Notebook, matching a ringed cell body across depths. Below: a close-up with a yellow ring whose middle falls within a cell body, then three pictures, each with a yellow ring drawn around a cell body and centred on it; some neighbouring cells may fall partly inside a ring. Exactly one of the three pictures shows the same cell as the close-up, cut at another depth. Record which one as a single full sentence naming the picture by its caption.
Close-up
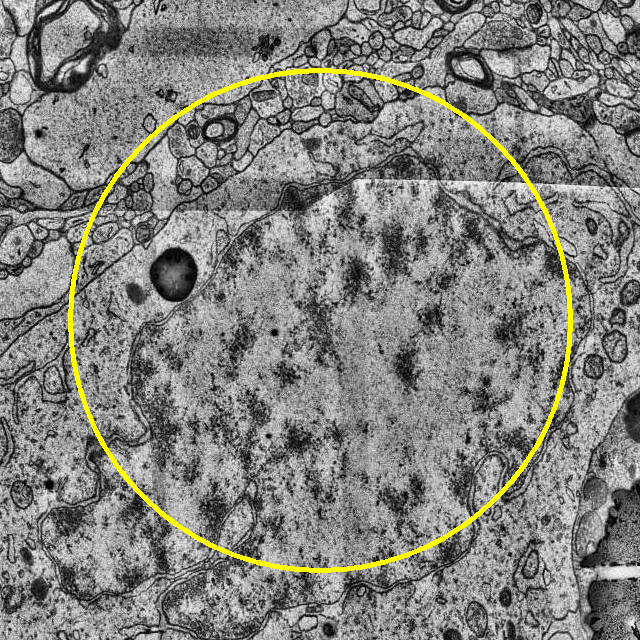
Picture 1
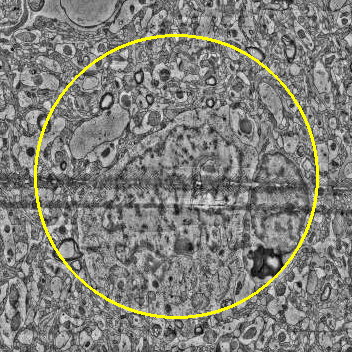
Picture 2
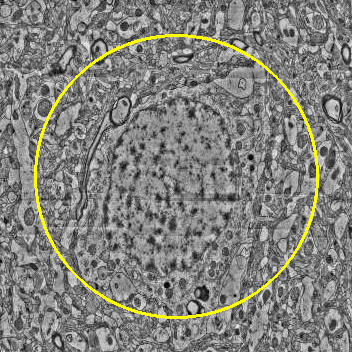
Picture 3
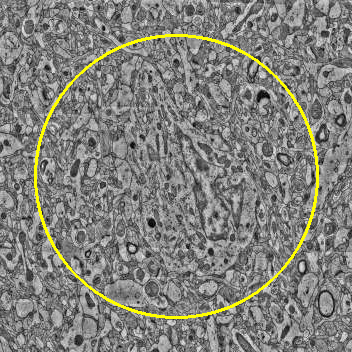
The cell in the zoomed view is the one circled in Picture 1.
